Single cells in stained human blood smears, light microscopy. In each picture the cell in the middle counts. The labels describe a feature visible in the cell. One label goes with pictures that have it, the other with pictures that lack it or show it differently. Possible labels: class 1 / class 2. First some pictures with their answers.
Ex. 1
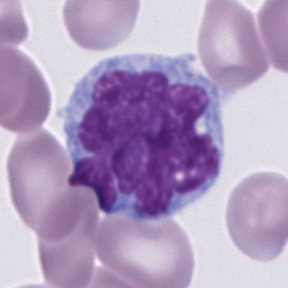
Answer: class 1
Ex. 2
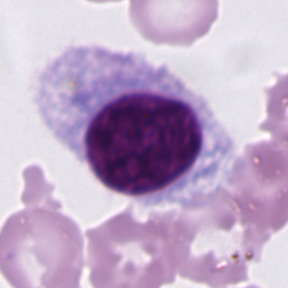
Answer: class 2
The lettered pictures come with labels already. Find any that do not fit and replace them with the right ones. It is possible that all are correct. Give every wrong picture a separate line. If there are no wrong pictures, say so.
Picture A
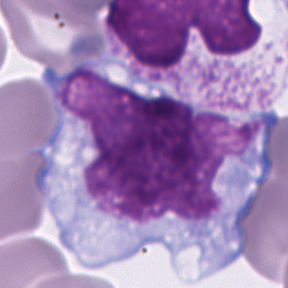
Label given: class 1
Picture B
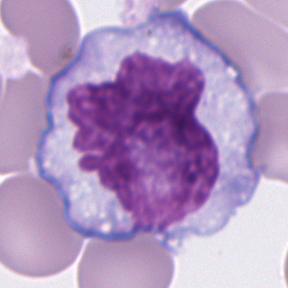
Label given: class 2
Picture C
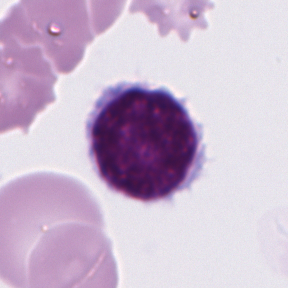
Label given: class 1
A: not class 1 but class 2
